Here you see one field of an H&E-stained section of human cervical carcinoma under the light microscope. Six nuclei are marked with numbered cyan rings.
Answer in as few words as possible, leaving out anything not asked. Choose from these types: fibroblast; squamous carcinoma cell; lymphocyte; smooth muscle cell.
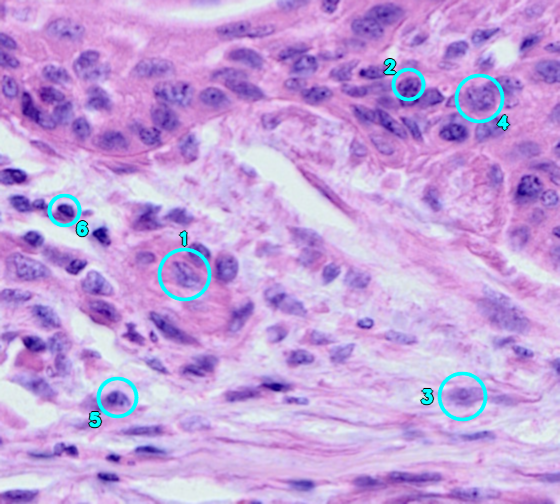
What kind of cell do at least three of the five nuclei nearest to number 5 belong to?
fibroblast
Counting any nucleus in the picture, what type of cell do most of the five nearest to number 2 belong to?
squamous carcinoma cell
